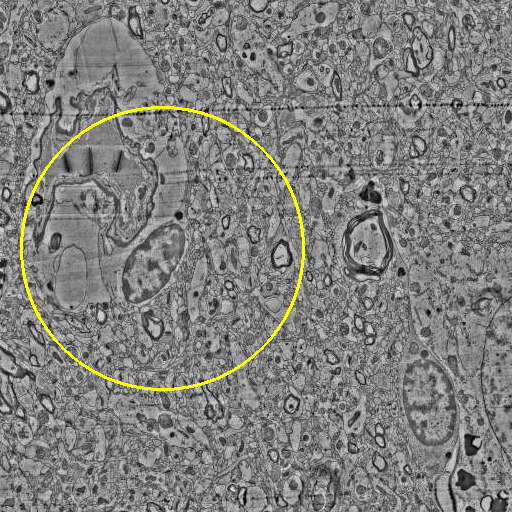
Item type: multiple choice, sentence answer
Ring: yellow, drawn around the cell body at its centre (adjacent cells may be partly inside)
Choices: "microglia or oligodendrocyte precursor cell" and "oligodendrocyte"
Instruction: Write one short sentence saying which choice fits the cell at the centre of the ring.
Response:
This ring is drawn around a microglial cell or oligodendrocyte precursor cell.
